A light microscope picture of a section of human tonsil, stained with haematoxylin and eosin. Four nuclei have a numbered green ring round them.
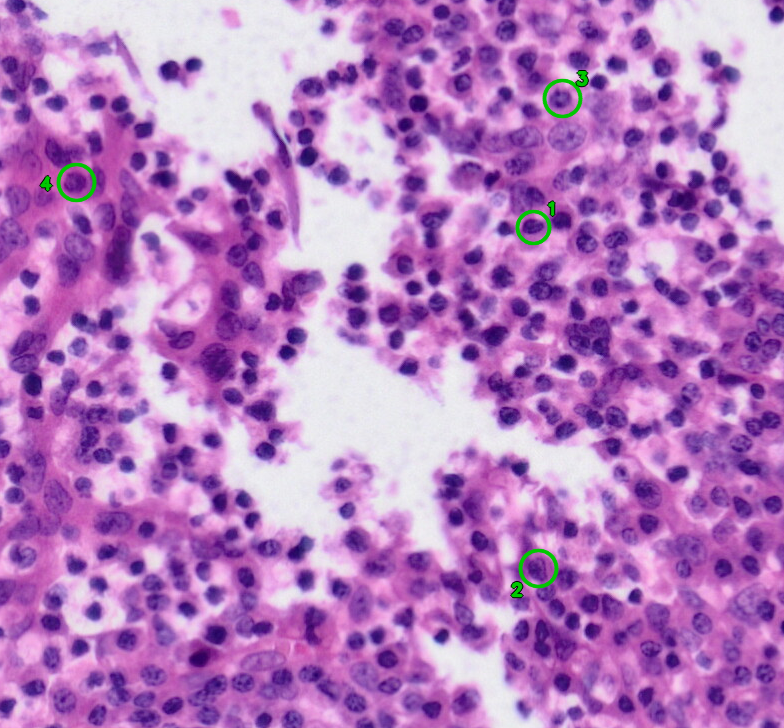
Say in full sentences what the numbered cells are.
Cell 1 is a plasma cell, cell 2 is a plasma cell, cell 3 is a plasma cell and cell 4 is a squamous epithelial cell.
